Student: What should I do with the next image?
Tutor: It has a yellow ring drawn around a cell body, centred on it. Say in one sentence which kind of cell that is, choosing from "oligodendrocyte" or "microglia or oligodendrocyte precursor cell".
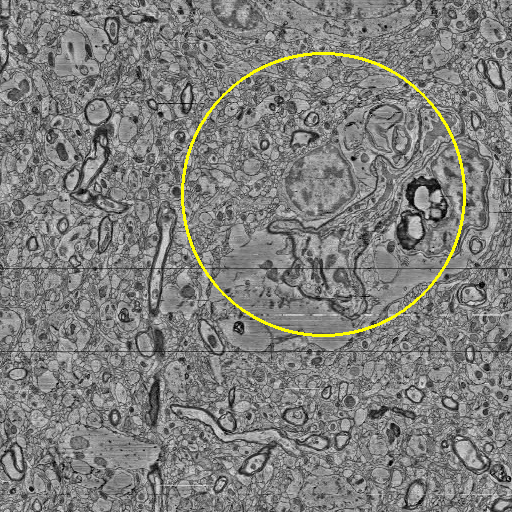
The ring's centre is occupied by an oligodendrocyte.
